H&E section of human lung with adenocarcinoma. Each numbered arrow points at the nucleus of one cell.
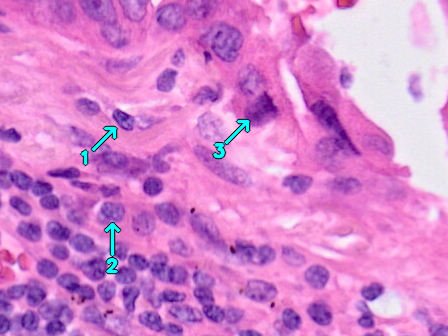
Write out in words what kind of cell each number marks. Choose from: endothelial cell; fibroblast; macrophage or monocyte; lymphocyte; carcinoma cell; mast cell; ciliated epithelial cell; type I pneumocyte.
Cells 1 and 2 are lymphocytes. Cell 3 is a carcinoma cell.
